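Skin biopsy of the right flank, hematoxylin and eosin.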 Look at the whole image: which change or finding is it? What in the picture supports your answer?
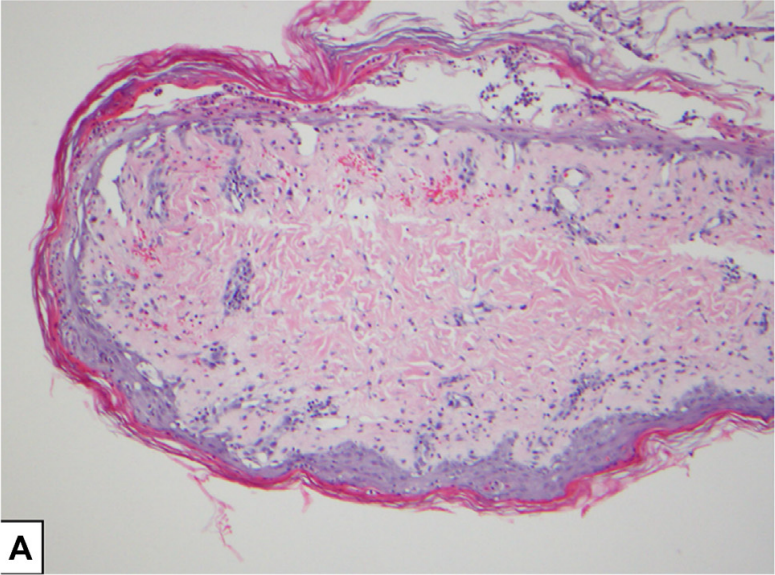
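Scant superficial perivascular lymphocytic infiltrate. Small clusters of dark, round nuclei lie around small vessels in the dermis. The clusters are few and small, with much pink collagen between them.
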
